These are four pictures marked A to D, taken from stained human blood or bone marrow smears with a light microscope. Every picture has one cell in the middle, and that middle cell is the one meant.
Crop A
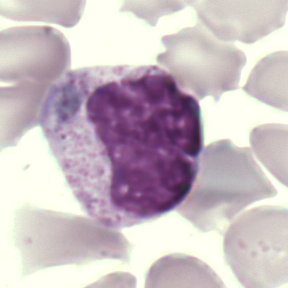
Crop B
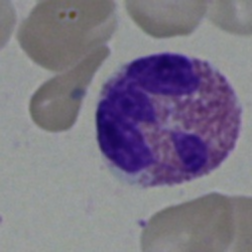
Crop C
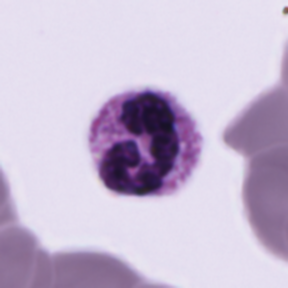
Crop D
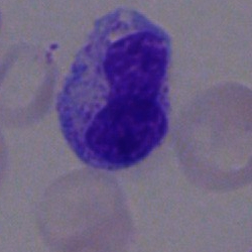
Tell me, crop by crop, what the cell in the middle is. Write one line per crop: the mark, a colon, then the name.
A: band neutrophil
B: eosinophil
C: eosinophil
D: metamyelocyte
